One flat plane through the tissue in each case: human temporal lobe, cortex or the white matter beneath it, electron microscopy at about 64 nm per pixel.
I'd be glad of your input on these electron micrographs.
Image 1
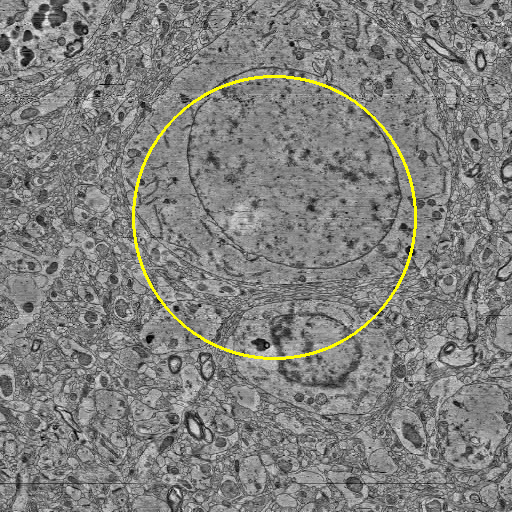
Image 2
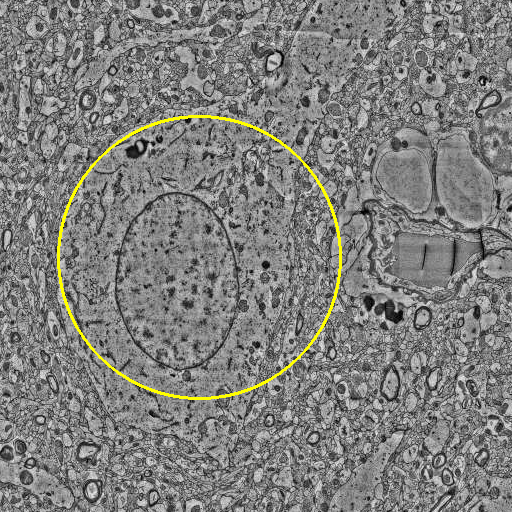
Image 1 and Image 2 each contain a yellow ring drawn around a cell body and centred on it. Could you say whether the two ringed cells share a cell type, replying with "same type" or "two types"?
same type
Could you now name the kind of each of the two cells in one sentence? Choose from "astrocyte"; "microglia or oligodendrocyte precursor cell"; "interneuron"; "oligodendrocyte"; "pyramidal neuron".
Each cell, in the first picture and the second, is a pyramidal neuron.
